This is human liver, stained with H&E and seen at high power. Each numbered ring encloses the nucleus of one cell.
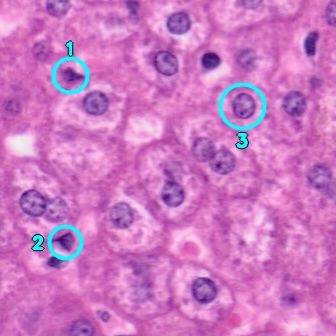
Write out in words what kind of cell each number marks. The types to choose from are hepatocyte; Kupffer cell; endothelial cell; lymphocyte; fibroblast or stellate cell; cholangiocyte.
Cells 1 and 2 are endothelial cells. Cell 3 is a hepatocyte.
